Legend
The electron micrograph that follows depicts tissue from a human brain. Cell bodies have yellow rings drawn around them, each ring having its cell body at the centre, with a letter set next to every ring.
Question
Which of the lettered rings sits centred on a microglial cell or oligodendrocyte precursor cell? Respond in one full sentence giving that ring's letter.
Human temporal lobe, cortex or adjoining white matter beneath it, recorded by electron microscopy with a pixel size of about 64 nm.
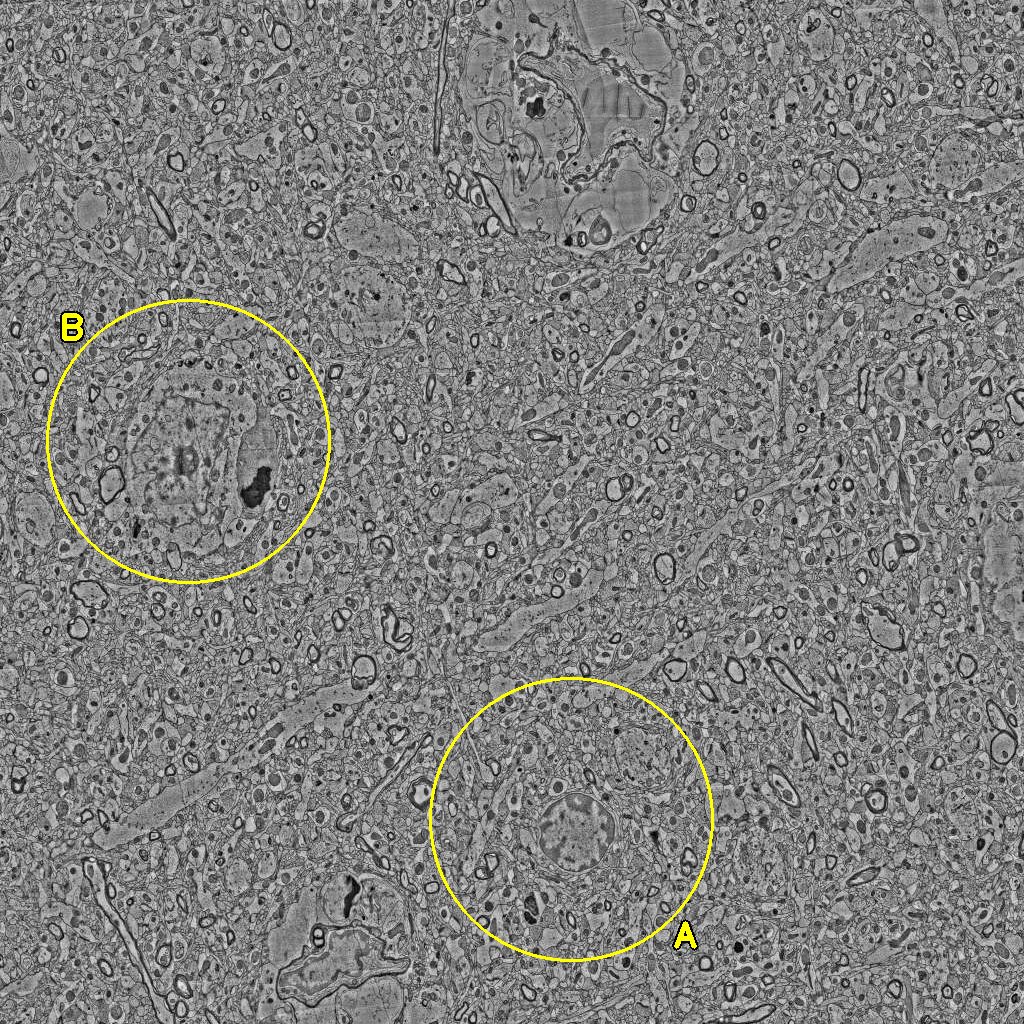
The letter A belongs to the ring centred on the cell asked about in the micrograph.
